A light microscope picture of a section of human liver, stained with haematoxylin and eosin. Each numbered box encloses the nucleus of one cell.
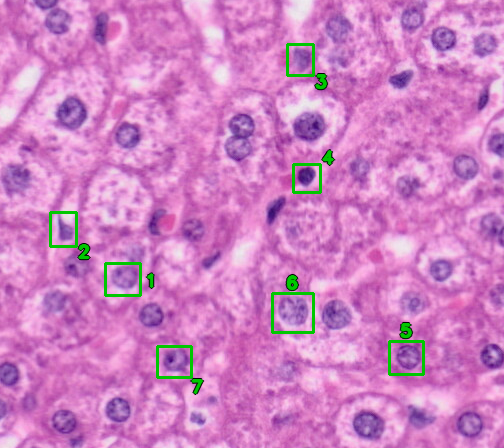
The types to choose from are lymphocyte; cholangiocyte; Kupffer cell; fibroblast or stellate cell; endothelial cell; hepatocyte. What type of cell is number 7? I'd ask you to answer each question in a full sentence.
The cell that is numbered 7 is a hepatocyte.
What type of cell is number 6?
Cell 6, among those numbered, is a hepatocyte.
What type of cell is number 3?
The cell that carries the label 3 is an endothelial cell.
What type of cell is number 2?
Number 2 among the marked cells is an endothelial cell.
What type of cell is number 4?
The cell referred to as 4 is a lymphocyte.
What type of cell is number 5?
Marked with the number 5, this cell is a hepatocyte.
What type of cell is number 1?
The nucleus labeled 1 belongs to a hepatocyte.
